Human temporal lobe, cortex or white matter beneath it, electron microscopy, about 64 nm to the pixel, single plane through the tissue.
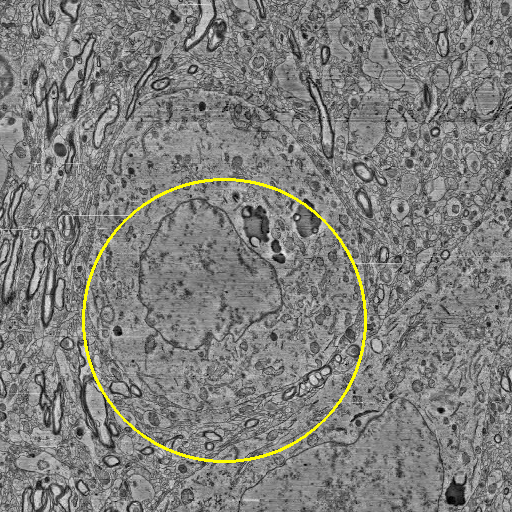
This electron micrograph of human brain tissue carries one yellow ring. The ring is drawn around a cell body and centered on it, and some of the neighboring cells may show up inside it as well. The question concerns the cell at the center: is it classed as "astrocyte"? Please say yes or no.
No, it is classed as another kind.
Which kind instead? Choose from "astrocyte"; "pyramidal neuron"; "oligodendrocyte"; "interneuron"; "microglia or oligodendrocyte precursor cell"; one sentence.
As it turns out, the cell at the ring centre is a pyramidal neuron.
